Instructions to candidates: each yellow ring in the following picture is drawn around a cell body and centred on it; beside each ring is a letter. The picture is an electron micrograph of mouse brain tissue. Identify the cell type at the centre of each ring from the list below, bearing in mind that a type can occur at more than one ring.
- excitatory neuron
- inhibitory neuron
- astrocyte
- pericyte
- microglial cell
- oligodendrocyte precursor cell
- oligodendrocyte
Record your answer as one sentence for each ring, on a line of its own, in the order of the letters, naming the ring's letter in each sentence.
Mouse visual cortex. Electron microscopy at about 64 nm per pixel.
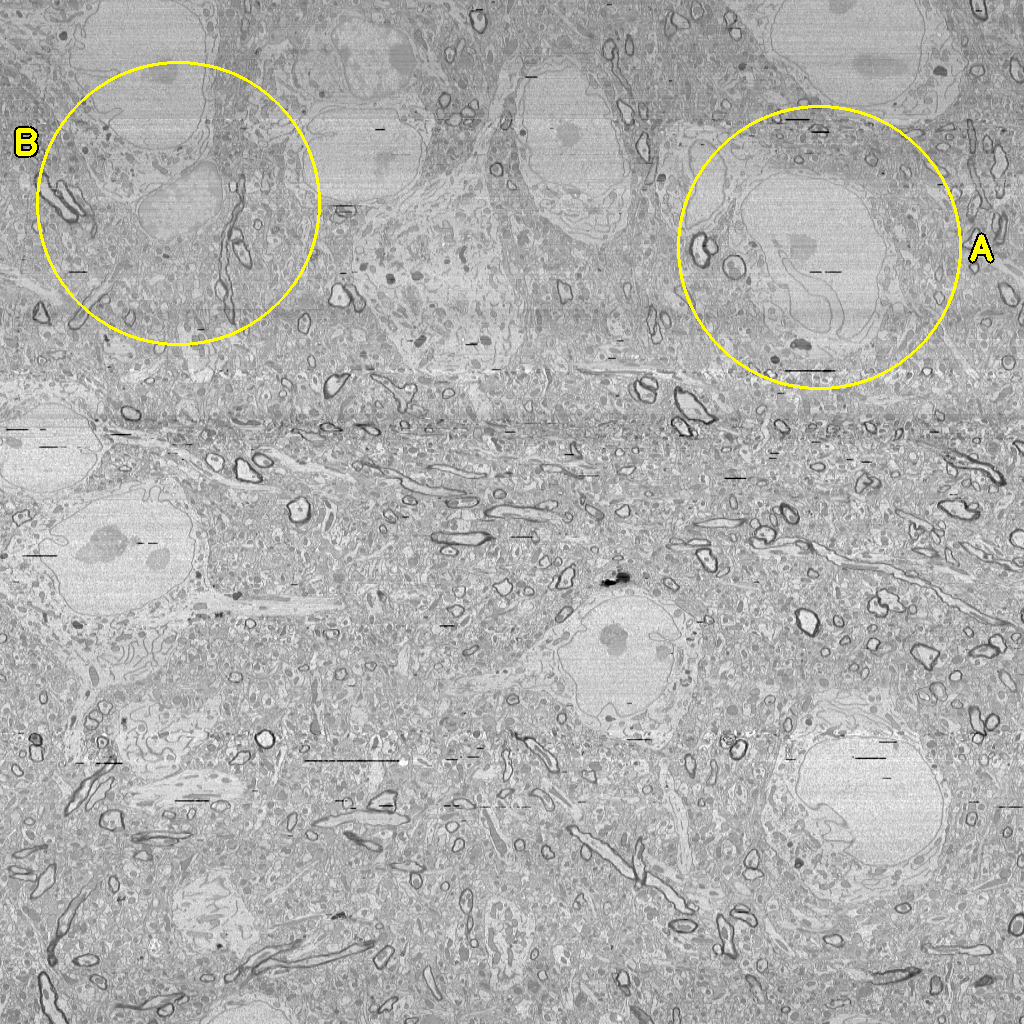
The cell centred in ring A is an excitatory neuron.
The cell centred in ring B is a microglial cell.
